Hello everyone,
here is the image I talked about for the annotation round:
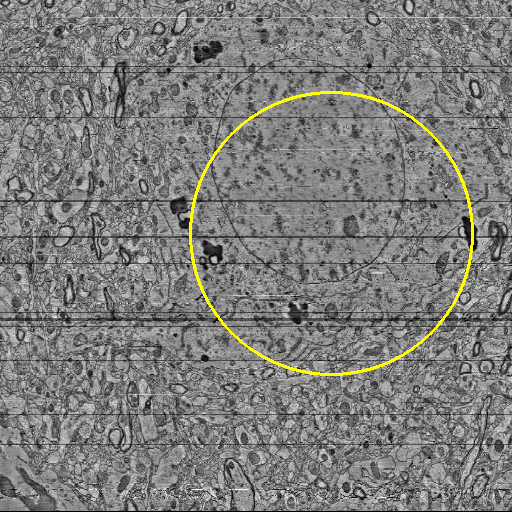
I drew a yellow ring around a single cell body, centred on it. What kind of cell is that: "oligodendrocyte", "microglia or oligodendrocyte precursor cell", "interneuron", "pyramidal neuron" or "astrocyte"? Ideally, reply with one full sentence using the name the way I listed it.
The cell your yellow ring is centred on is a pyramidal neuron, going by your list.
